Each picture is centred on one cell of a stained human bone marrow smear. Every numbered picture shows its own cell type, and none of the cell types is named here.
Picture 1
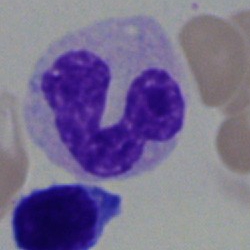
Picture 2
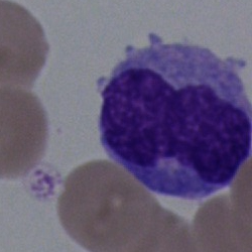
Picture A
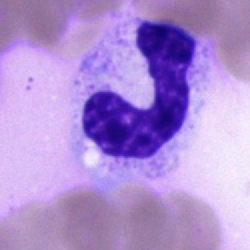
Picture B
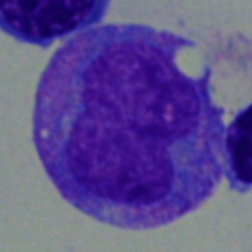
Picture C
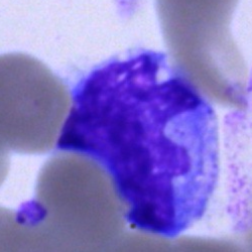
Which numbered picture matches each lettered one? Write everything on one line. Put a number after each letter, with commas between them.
A 1, B 2, C 2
